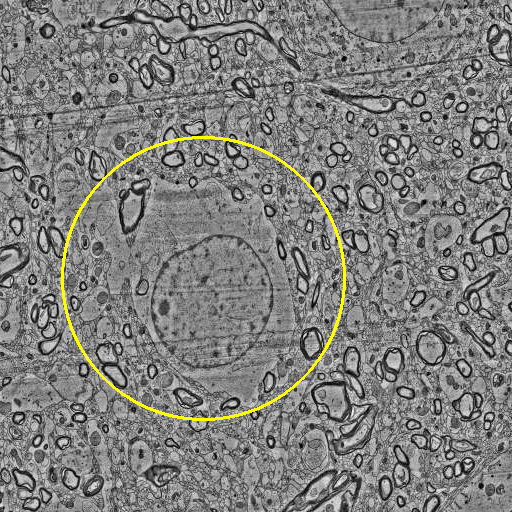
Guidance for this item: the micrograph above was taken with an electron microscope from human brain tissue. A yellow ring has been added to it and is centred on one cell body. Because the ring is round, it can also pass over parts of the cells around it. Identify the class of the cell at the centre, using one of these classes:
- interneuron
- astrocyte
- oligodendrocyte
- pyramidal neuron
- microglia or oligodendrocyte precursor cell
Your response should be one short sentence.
The ring surrounds the body of an astrocyte.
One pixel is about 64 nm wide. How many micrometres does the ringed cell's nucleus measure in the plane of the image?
In this plane, approximately 9 by 8 micrometers.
